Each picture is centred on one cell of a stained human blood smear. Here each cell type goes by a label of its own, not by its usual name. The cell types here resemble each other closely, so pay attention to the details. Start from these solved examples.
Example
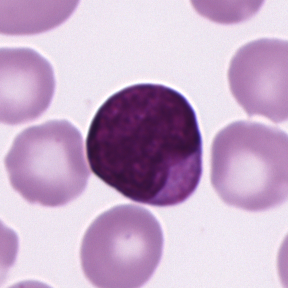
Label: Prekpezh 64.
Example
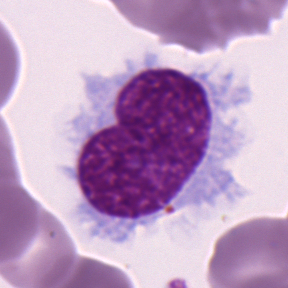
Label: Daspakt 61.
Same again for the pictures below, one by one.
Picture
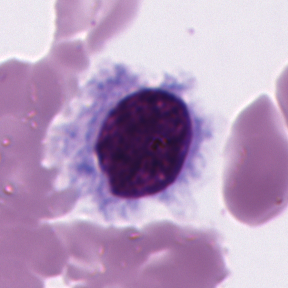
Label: Daspakt 61.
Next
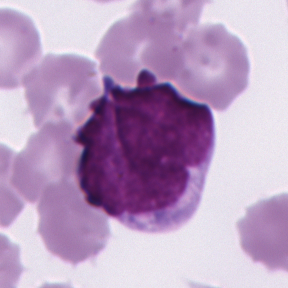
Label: Prekpezh 64.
